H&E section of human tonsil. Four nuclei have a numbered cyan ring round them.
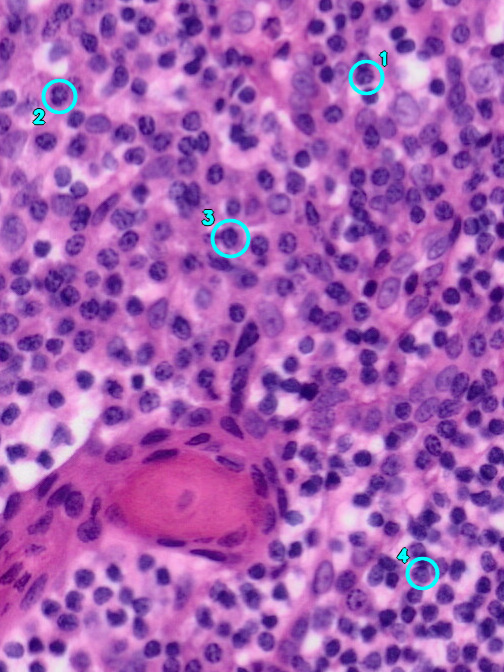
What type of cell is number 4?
small lymphocyte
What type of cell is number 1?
plasma cell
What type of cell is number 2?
plasma cell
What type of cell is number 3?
plasma cell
